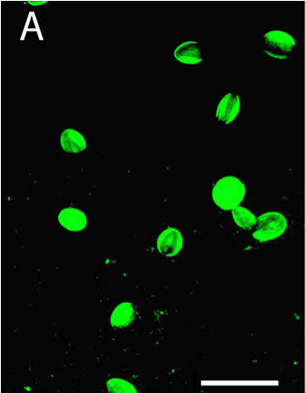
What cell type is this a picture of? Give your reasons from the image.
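Several grains show longitudinal furrows.
Answer: Pollen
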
